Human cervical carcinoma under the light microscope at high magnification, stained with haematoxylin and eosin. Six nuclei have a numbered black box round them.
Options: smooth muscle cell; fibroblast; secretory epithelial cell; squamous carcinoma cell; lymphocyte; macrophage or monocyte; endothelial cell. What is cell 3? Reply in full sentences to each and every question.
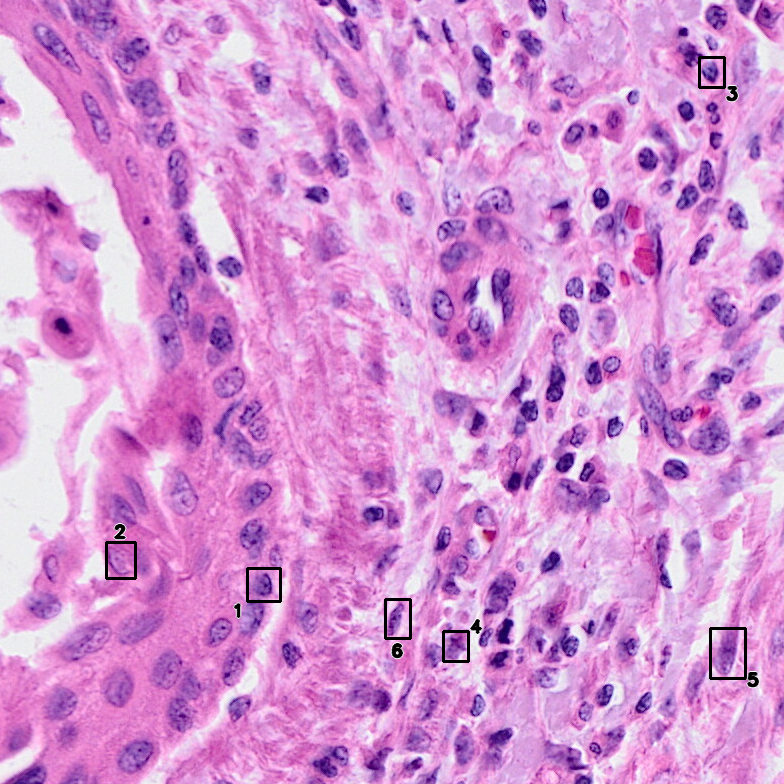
The cell indicated by marker 3 is a lymphocyte in this section.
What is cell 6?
In the tissue shown, cell 6 is a fibroblast.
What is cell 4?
In the tissue shown, cell 4 is a fibroblast.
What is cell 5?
The cell that goes by number 5 is a fibroblast.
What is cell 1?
The cell assigned the number 1 is a squamous carcinoma cell.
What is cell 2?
Denoted by the label 2 in the section is a squamous carcinoma cell.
